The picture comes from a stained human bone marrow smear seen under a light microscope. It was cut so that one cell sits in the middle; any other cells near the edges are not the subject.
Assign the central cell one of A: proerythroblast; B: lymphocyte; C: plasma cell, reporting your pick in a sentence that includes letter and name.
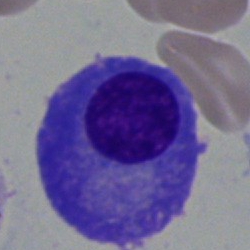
Option C gives the correct identity of the central cell, namely a plasma cell.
